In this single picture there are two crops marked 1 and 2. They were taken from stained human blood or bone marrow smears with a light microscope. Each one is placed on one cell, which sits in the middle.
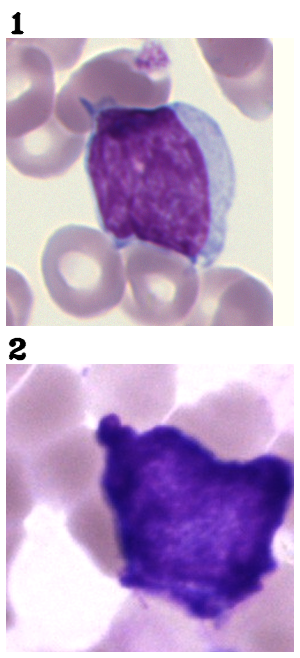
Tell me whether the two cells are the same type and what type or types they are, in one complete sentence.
Yes, they do, both crops show blasts.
